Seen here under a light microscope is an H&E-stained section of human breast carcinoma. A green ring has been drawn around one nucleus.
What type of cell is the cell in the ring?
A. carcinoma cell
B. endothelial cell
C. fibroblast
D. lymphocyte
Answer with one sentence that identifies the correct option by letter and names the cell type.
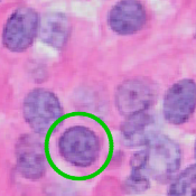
Under option A, the cell in the ring is listed as a carcinoma cell, which is correct.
